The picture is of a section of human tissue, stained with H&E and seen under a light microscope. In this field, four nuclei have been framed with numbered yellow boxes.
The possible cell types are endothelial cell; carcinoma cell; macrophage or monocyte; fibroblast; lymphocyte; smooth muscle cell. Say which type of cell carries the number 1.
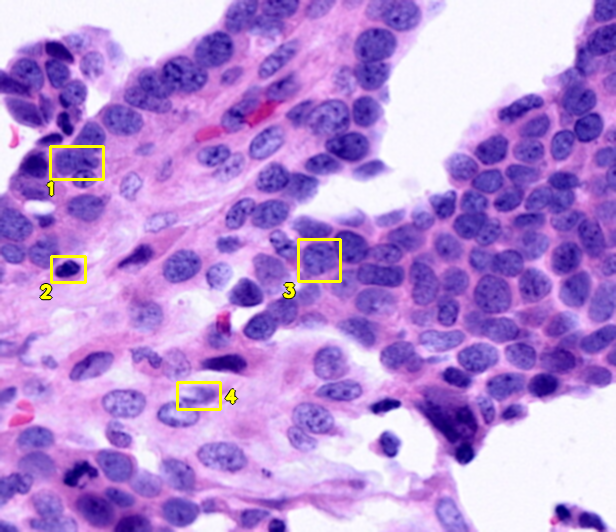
carcinoma cell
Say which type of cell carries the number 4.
fibroblast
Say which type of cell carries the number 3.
carcinoma cell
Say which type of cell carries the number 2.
lymphocyte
